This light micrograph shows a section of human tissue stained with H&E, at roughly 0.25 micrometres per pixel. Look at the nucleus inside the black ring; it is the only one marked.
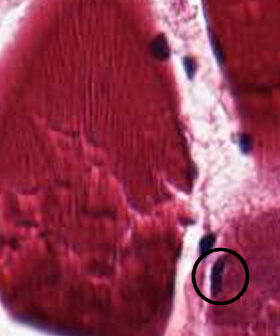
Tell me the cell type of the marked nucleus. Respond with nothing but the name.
skeletal muscle fibre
